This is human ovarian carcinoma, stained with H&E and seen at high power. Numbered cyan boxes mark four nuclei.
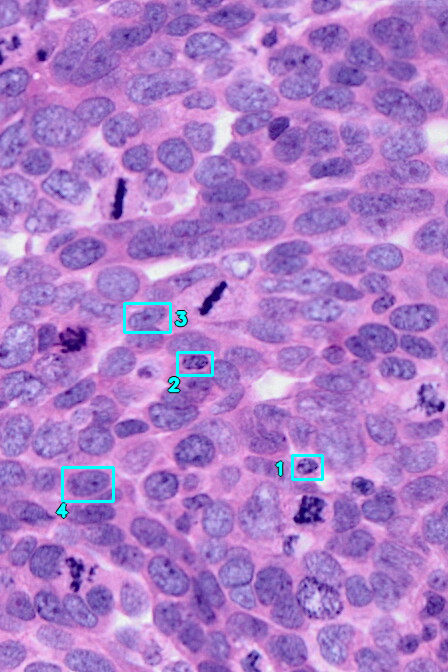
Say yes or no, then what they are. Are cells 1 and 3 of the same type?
No, cell 1 is a lymphocyte; cell 3, by contrast, is a carcinoma cell.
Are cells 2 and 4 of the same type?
No; cell 2 is a lymphocyte, and cell 4 is a carcinoma cell.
